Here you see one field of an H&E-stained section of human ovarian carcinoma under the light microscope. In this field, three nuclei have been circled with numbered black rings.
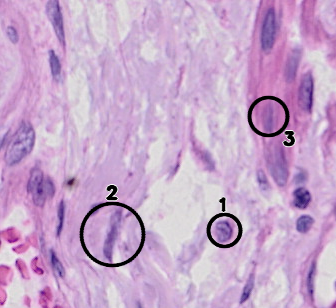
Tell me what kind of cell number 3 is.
smooth muscle cell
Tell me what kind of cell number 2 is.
fibroblast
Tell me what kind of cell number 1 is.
macrophage or monocyte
